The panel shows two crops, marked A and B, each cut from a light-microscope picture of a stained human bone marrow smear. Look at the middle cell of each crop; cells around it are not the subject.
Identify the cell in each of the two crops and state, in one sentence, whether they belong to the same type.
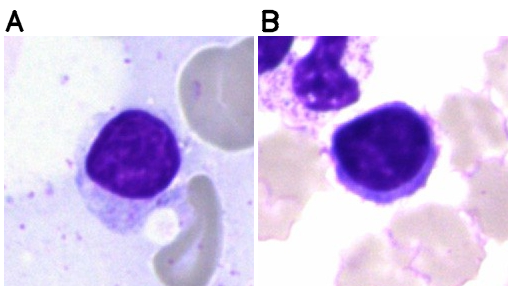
Yes, lymphocytes are present at the centre of both crops.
